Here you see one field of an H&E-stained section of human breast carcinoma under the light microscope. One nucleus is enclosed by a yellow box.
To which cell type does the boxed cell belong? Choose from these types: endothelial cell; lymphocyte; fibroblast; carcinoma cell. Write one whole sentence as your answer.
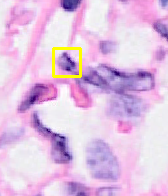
In the tissue under study, the boxed cell is an endothelial cell.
